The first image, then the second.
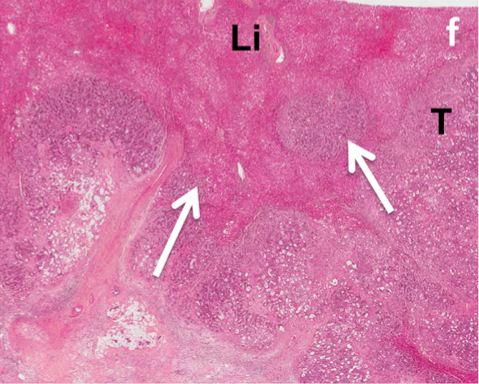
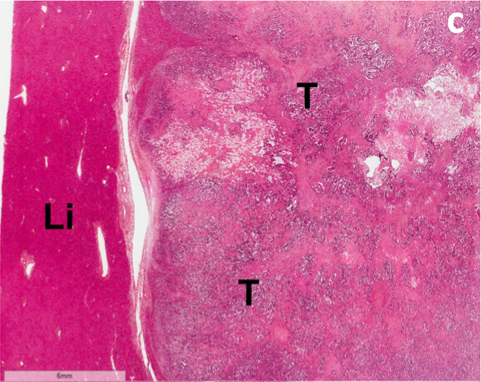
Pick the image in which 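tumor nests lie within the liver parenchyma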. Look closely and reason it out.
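The first image. First image: rounded tumor nests are embedded among the pink liver tissue with an irregular border. Second image: the liver tissue on the left is free of tumor nests and meets the tumor at a sharp, smooth border.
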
